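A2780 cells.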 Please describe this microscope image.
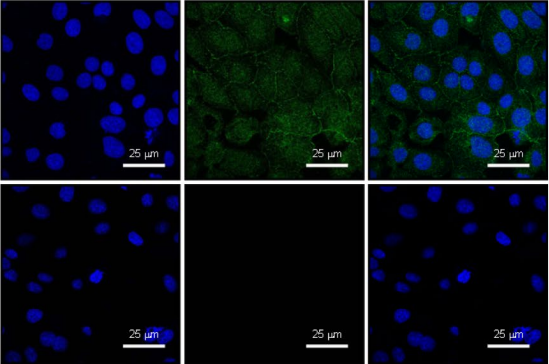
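These are cultured cells in a monolayer, shown in blue, green and merged fluorescence images arranged in two rows. The blue channel shows oval nuclei scattered across the field. In the top row the green is faint but outlines cell borders as thin lines and gives a weak granular tint to the cytoplasm, so the outlines of neighbouring cells can be made out. In the bottom row the green channel is dark, and the merged image shows only blue nuclei, which appear somewhat smaller and more sparsely spaced than in the top row.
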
